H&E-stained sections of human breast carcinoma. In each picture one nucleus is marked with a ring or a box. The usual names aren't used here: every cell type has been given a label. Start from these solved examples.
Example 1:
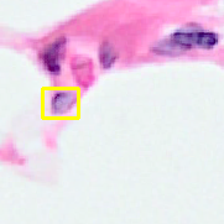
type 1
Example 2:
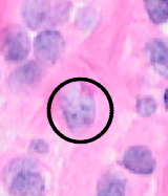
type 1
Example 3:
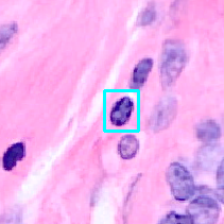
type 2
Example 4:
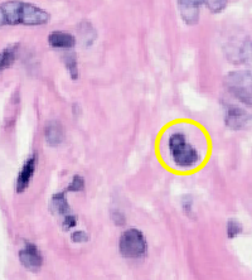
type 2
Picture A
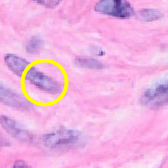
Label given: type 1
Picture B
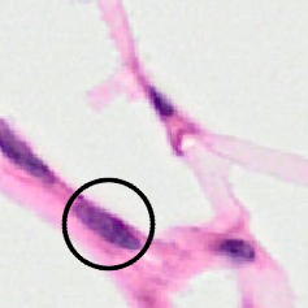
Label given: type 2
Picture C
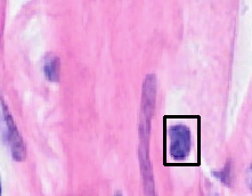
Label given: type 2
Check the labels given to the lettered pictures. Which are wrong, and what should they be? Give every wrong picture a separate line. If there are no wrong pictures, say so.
B should be type 1, not type 2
